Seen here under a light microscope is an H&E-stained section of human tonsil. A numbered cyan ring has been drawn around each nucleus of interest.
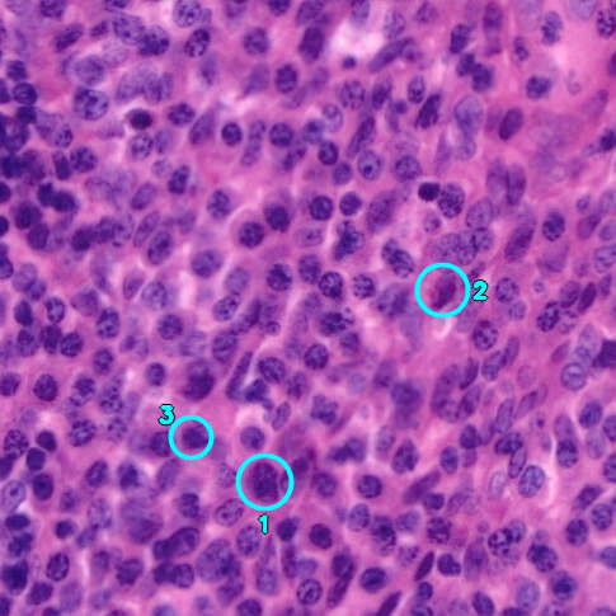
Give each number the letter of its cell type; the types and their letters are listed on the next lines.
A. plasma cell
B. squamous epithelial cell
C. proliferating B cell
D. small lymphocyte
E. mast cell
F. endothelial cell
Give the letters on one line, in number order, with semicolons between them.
B; B; A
